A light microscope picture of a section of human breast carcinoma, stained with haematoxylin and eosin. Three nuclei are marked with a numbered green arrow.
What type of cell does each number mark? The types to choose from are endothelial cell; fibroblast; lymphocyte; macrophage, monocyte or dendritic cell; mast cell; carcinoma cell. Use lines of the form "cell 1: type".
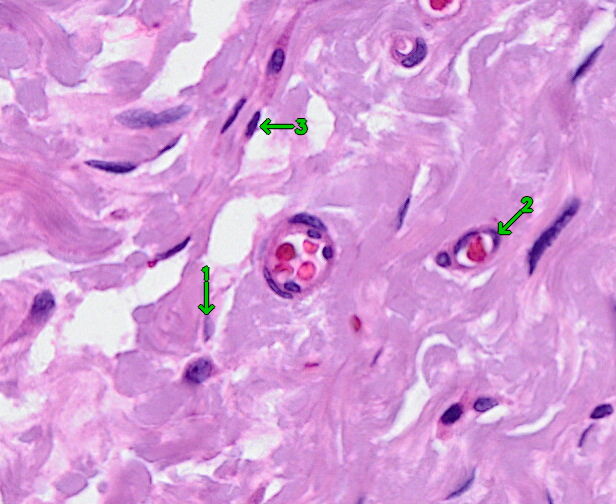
cell 1: fibroblast
cell 2: endothelial cell
cell 3: fibroblast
